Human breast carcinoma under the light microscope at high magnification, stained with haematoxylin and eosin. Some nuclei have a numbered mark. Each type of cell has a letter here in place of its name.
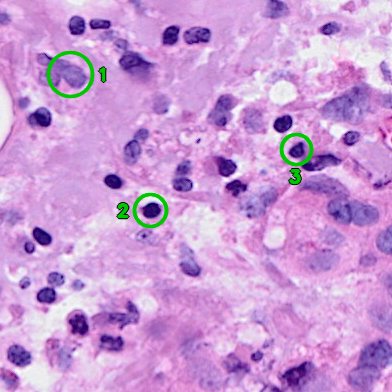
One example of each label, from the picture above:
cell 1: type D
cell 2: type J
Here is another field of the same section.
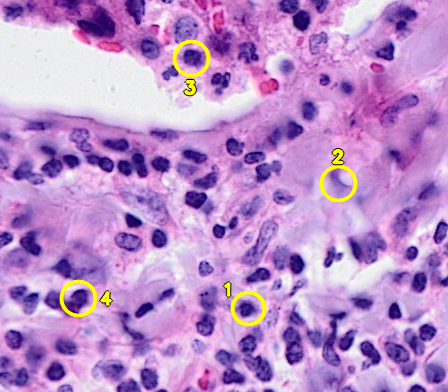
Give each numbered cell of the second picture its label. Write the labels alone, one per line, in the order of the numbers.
type J
type D
type J
type J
